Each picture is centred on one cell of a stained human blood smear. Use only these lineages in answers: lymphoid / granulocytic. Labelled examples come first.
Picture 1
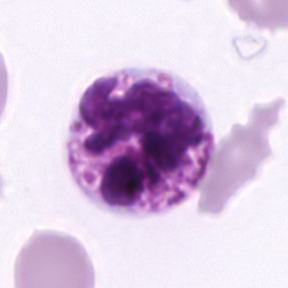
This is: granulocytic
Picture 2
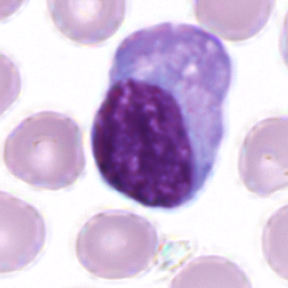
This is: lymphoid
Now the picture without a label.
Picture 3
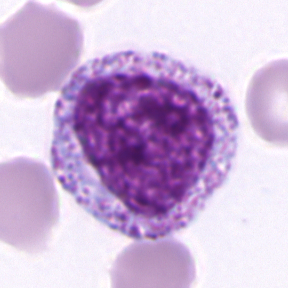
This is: granulocytic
